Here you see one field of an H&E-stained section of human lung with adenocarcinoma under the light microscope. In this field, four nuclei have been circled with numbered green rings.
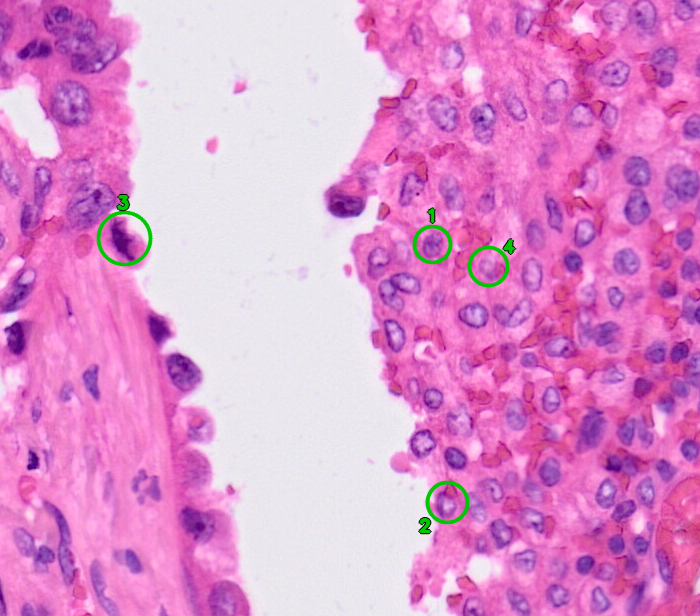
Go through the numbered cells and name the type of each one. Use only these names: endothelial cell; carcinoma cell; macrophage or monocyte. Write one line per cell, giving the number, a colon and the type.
1: macrophage or monocyte
2: macrophage or monocyte
3: carcinoma cell
4: macrophage or monocyte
